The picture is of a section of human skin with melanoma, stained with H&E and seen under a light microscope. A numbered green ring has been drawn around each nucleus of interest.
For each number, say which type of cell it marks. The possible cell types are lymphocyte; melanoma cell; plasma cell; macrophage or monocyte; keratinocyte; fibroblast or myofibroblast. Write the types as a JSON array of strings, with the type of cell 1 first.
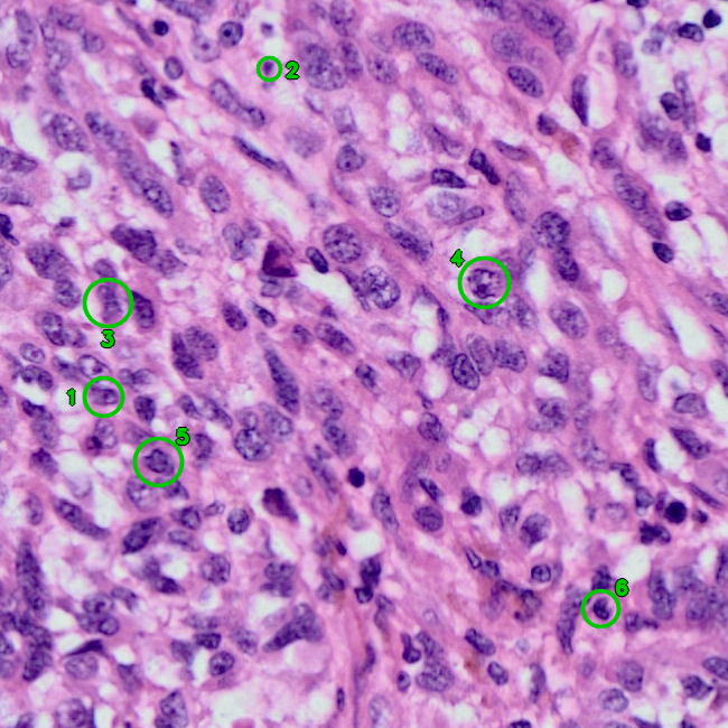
["melanoma cell", "lymphocyte", "melanoma cell", "melanoma cell", "melanoma cell", "lymphocyte"]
